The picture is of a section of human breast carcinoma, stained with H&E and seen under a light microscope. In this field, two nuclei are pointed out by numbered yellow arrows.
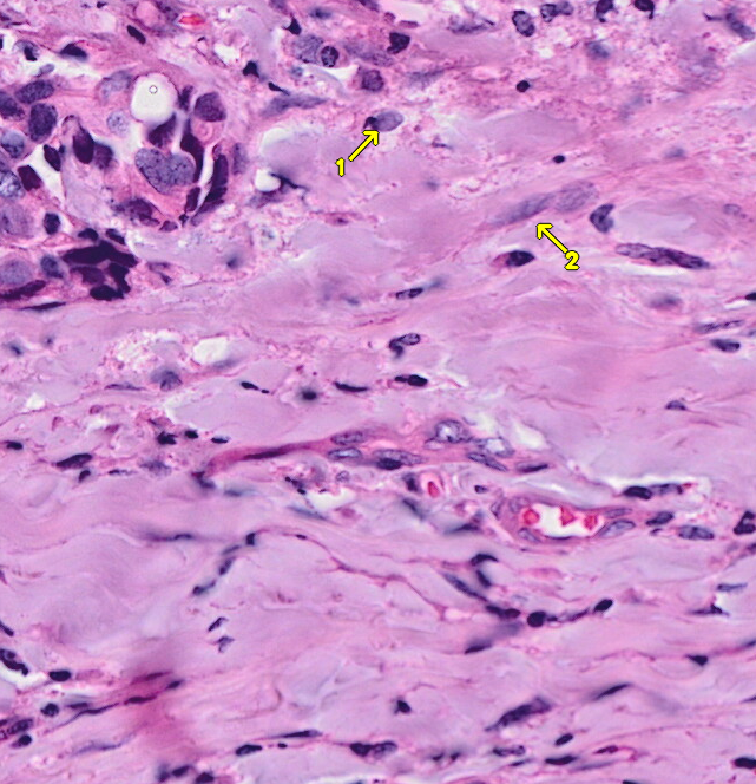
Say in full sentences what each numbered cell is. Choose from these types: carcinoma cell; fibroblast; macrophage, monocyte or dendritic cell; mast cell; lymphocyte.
Cell 1 is a macrophage, monocyte or dendritic cell and cell 2 is a fibroblast.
